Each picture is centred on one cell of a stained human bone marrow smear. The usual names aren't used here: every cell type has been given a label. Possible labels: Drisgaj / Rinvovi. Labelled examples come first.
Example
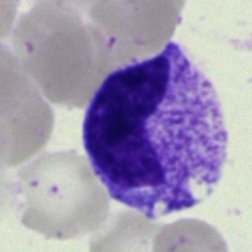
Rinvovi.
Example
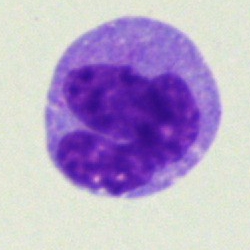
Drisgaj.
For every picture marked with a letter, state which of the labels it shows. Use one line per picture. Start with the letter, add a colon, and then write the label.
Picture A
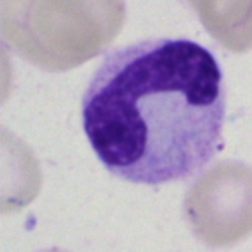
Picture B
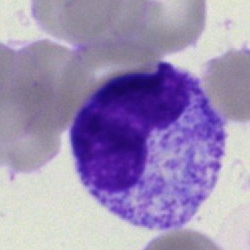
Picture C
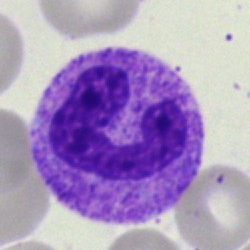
A: Rinvovi.
B: Rinvovi.
C: Rinvovi.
